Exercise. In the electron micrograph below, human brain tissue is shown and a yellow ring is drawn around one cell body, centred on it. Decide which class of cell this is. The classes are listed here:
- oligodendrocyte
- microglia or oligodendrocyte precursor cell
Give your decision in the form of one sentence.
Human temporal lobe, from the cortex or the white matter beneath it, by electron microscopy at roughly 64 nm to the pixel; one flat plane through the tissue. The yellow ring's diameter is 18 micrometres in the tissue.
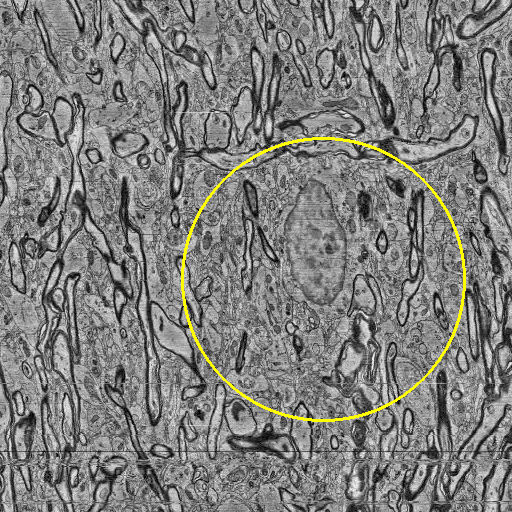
The cell body marked by the ring belongs to an oligodendrocyte.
